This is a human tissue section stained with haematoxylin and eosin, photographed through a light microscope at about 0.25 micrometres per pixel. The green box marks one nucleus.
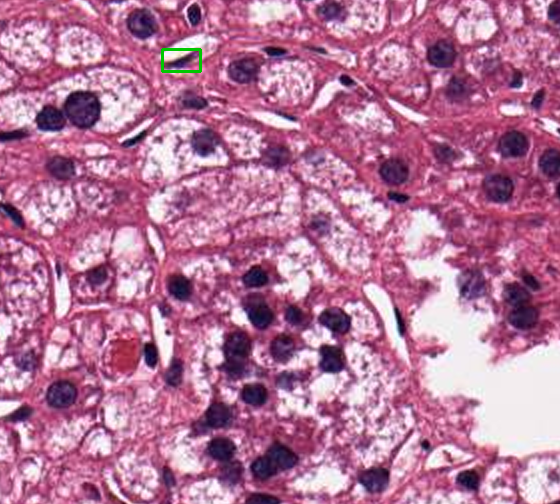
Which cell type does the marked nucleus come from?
endothelial cell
